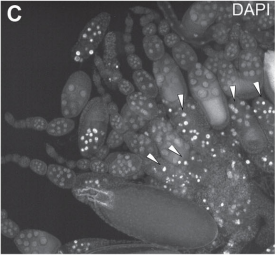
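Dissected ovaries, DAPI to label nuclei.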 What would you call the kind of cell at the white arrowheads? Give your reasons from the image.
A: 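Apoptotic cells. The arrowheads point at egg chambers with many small, bright, dot-like nuclear fragments. Other egg chambers show large, round, evenly stained nuclei.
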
